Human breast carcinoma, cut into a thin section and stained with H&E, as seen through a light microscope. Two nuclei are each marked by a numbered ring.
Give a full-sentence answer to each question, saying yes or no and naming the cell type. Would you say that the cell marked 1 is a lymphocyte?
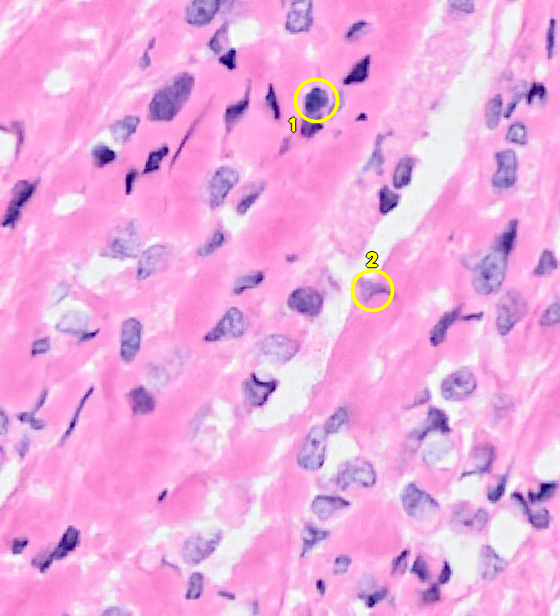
Yes, number 1 corresponds to a lymphocyte.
